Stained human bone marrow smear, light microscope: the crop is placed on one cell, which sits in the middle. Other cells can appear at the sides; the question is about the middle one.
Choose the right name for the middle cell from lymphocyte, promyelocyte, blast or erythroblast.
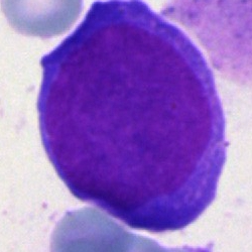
blast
